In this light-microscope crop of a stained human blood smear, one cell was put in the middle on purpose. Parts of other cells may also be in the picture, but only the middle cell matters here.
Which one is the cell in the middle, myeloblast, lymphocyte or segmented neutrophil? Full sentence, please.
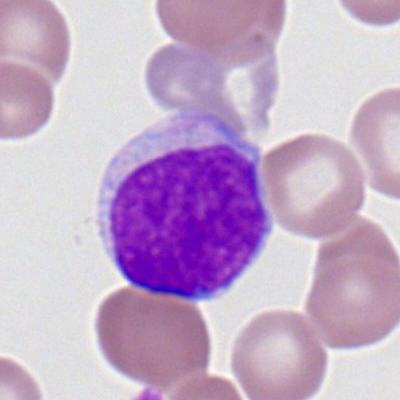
The cell featured at the centre of this crop is a myeloblast.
